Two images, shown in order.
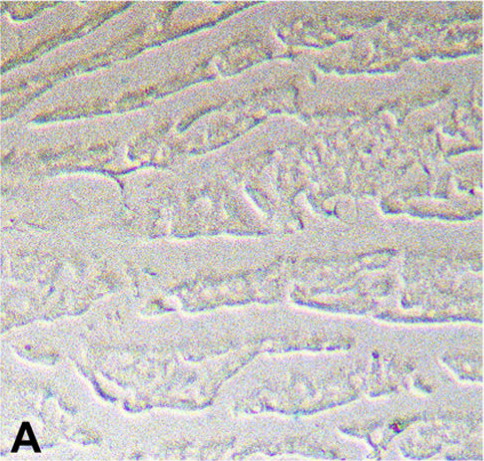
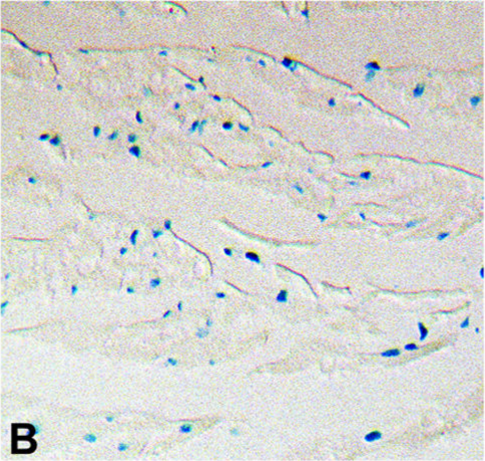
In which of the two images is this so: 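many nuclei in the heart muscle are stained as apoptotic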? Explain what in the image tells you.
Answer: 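The second image. Second image: numerous dark blue nuclei are scattered across the muscle fibers. First image: the muscle fibers show no blue-stained nuclei.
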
